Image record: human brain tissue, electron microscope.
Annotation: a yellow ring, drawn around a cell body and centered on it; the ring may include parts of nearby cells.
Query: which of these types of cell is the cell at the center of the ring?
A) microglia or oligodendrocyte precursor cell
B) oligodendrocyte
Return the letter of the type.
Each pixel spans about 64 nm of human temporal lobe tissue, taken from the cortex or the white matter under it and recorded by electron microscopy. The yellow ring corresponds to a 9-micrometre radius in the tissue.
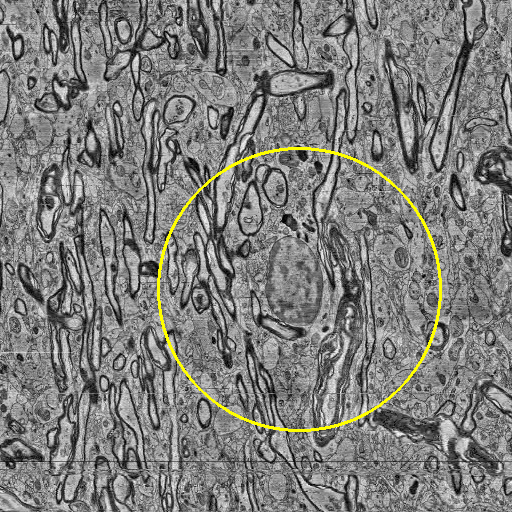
A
